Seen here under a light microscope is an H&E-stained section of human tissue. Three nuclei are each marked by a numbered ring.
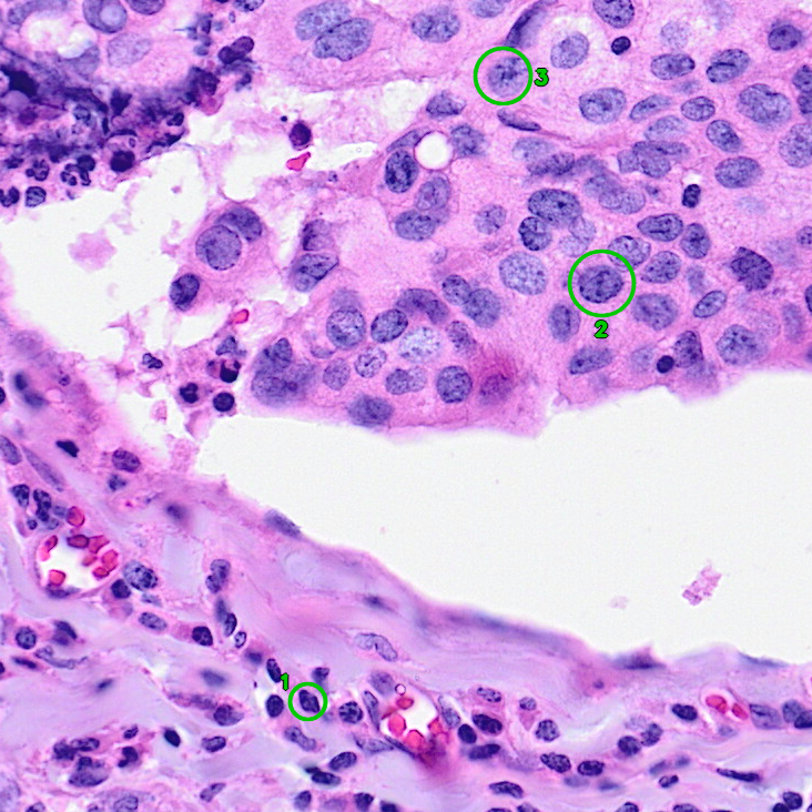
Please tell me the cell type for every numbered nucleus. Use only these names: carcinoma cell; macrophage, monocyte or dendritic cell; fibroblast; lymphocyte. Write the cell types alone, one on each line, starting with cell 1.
lymphocyte
carcinoma cell
carcinoma cell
